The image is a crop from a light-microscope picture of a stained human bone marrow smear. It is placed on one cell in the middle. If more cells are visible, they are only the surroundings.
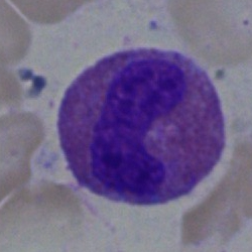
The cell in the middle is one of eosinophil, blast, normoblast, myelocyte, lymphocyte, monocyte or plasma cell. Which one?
eosinophil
